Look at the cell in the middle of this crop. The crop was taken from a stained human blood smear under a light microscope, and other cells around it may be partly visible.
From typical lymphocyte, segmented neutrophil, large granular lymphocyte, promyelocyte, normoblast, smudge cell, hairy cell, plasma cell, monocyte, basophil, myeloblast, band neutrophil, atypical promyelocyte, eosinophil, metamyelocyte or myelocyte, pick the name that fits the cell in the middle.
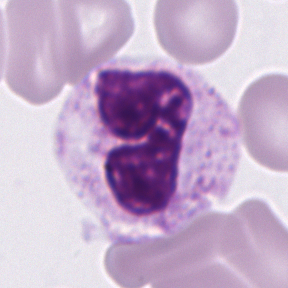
segmented neutrophil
